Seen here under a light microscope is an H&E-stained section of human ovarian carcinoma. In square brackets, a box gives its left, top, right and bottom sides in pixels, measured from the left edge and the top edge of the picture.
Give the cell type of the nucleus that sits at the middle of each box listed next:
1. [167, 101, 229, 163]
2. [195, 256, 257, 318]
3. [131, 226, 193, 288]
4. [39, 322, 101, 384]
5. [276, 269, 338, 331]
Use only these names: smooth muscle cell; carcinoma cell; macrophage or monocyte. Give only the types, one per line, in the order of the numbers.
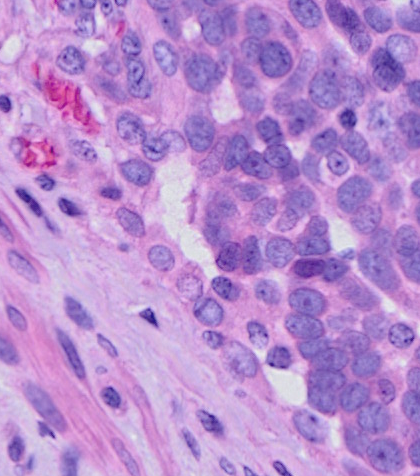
carcinoma cell
macrophage or monocyte
carcinoma cell
smooth muscle cell
carcinoma cell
